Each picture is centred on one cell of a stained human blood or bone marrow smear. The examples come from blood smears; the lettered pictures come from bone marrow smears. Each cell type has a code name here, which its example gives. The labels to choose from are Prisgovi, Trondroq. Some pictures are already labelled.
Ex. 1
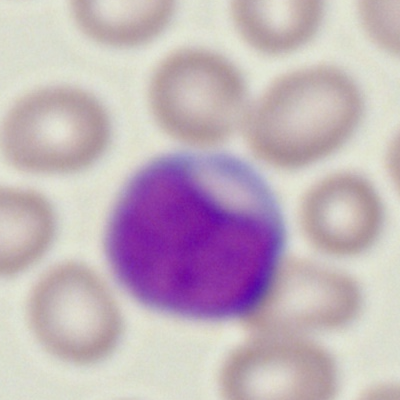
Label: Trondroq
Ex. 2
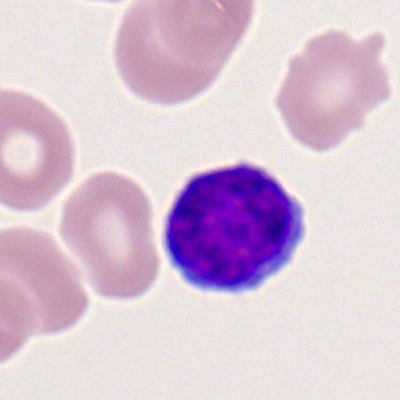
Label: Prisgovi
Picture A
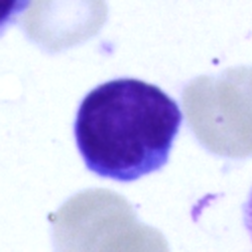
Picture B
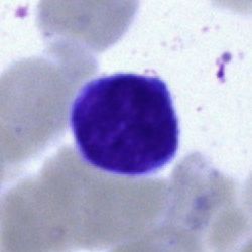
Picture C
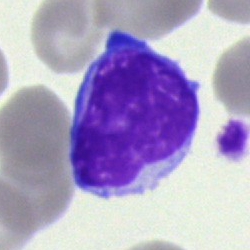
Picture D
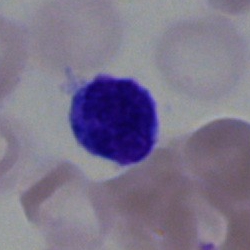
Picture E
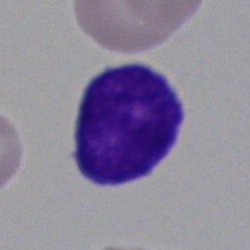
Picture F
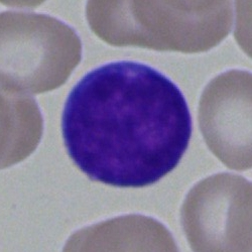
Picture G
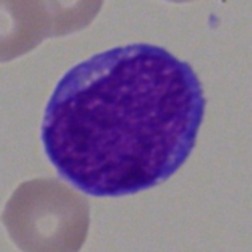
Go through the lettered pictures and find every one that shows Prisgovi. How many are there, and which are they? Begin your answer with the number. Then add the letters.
3, namely A, B, D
